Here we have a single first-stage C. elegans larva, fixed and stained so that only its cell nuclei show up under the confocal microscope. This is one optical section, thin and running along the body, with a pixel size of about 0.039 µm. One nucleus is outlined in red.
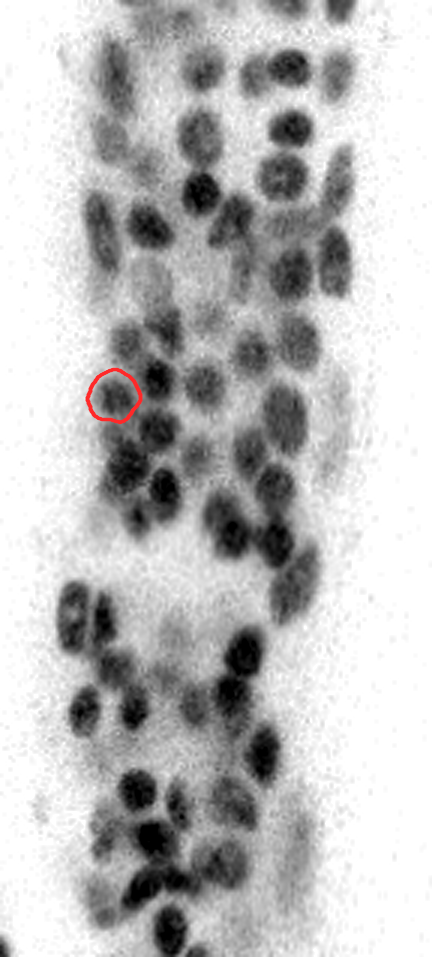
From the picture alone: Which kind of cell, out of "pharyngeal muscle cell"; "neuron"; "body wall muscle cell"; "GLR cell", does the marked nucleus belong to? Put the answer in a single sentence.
The marked cell is a neuron.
